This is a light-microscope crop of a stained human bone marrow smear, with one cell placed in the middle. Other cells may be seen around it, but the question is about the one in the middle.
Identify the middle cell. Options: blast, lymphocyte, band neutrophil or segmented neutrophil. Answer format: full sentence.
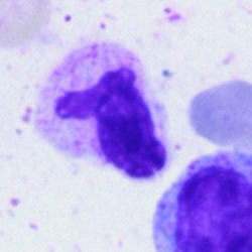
Positioned in the middle of the crop is a segmented neutrophil.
